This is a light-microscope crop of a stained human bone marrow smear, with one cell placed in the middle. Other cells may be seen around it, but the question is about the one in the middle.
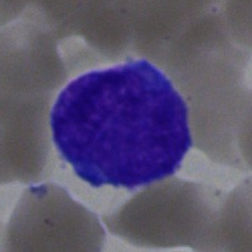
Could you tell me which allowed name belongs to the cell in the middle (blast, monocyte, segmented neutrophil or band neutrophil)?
blast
